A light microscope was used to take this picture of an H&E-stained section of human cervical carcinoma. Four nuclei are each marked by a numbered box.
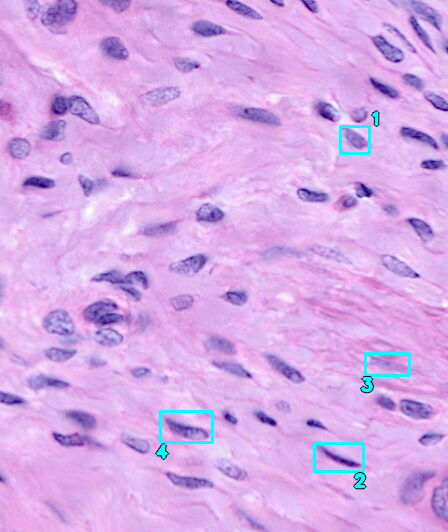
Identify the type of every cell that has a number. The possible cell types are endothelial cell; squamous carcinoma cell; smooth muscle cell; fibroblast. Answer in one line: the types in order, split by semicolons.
fibroblast; fibroblast; smooth muscle cell; fibroblast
